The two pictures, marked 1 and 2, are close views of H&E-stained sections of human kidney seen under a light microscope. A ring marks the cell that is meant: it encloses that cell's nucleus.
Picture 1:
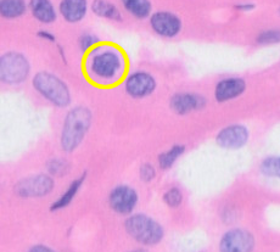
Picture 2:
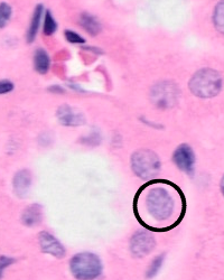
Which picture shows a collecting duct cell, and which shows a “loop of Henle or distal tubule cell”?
1: collecting duct cell
2: loop of Henle or distal tubule cell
